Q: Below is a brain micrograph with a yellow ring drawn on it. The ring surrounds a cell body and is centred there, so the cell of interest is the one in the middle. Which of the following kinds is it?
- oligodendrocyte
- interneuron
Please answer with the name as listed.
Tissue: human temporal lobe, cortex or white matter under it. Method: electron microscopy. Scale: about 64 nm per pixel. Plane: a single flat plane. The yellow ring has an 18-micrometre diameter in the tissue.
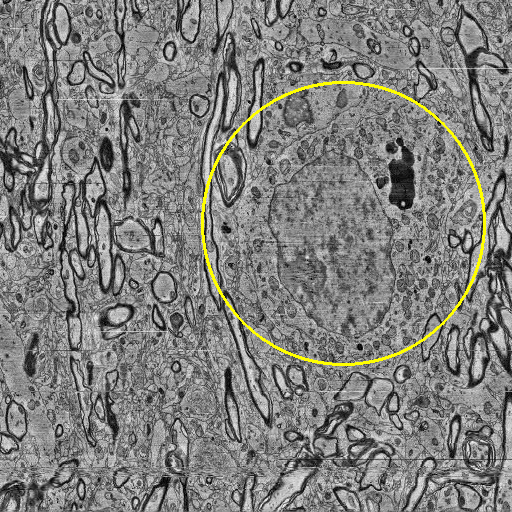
interneuron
